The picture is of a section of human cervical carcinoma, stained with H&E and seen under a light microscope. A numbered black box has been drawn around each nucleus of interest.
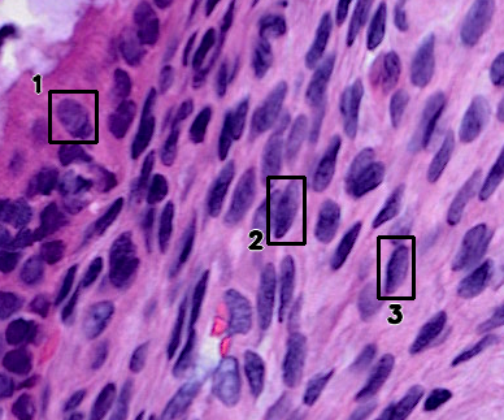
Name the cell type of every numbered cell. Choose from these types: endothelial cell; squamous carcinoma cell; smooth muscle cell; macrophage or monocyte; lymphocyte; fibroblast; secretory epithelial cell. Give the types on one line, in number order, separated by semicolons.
secretory epithelial cell; fibroblast; fibroblast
